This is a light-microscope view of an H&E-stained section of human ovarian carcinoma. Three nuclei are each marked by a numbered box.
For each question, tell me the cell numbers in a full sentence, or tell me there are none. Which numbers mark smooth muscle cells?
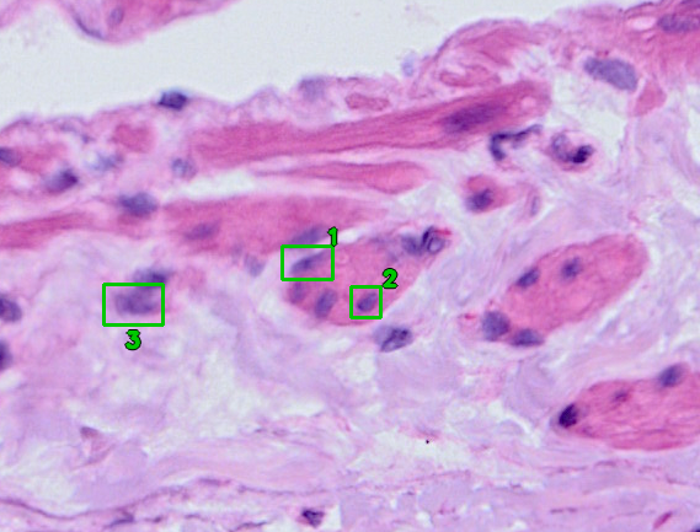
The cells numbered 1 and 2 are, by type, smooth muscle cells.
